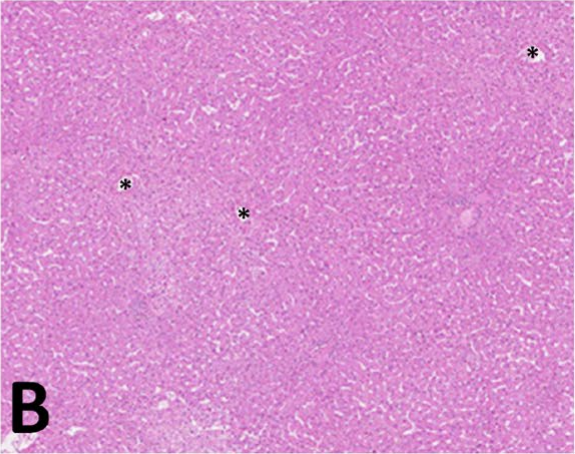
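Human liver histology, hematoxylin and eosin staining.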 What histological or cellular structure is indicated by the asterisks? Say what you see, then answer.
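Each asterisk sits at or beside a small, rounded, clear opening within the pink tissue. The openings are scattered singly through the tissue rather than in clusters. The answer: central veins.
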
